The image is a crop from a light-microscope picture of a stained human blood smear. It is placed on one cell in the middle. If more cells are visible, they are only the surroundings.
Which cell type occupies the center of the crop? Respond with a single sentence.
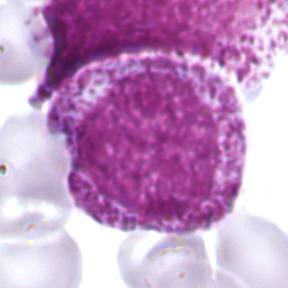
The centered cell in this crop is a myelocyte.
